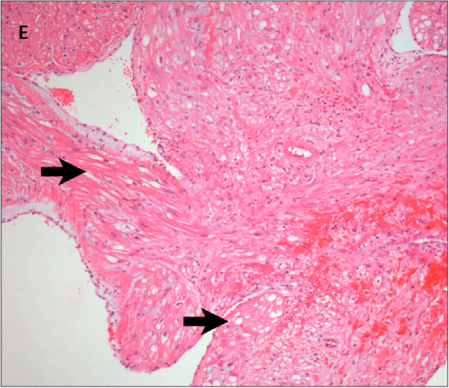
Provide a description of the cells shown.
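Some bundles are cut lengthwise and show spindle-shaped cells; others are cut across and look pale and vacuolated. Many of these cells show few or no nuclei. At the right, red extravasated blood lies among the tissue, and scattered small dark nuclei are seen in the surrounding stroma.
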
